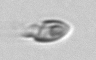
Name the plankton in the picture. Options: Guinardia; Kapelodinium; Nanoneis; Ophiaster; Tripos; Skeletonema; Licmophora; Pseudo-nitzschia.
Kapelodinium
